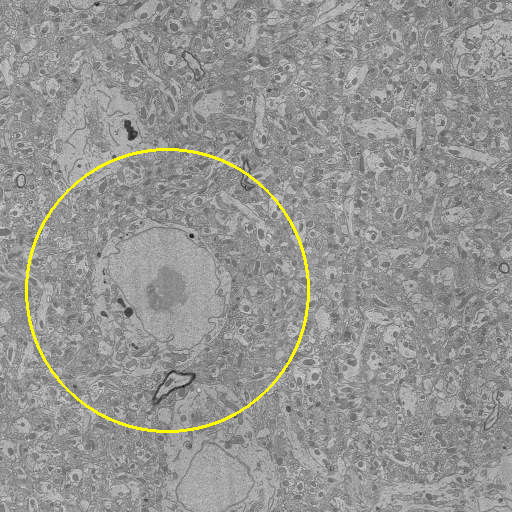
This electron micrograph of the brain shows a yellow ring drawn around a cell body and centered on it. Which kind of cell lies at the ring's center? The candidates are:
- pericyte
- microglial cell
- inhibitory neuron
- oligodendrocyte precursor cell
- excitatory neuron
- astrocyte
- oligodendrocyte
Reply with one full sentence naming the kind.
The cell lying at the ring's center in this micrograph is an inhibitory neuron.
